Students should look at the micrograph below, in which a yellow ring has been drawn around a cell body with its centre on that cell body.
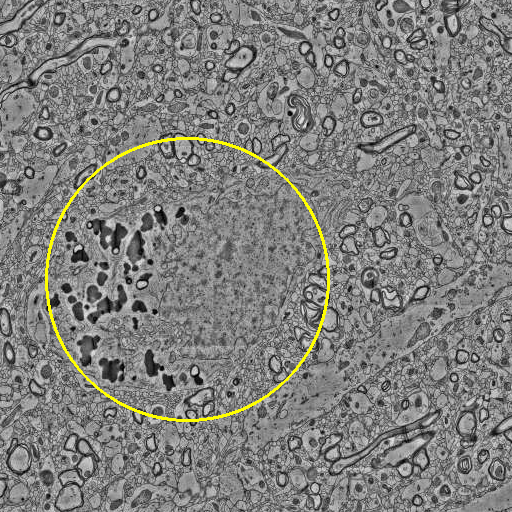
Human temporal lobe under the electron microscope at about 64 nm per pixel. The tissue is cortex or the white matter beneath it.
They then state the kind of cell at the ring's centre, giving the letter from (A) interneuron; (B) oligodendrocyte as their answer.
A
